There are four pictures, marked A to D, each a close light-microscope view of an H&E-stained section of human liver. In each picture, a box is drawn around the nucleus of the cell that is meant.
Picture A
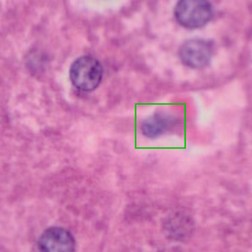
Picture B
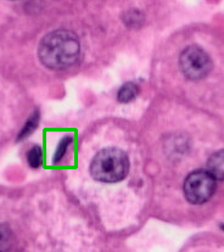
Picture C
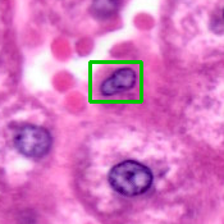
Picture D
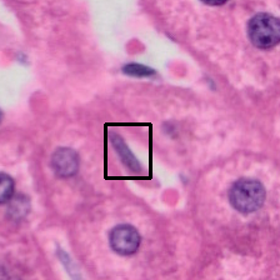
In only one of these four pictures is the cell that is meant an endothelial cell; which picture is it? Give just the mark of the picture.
B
